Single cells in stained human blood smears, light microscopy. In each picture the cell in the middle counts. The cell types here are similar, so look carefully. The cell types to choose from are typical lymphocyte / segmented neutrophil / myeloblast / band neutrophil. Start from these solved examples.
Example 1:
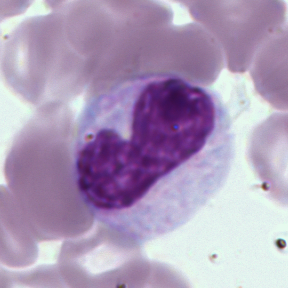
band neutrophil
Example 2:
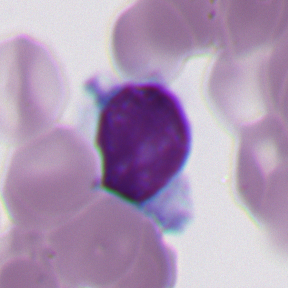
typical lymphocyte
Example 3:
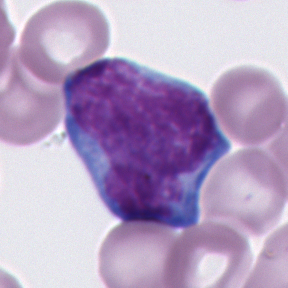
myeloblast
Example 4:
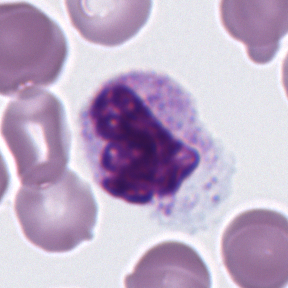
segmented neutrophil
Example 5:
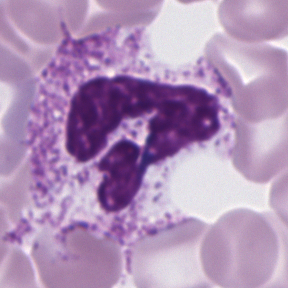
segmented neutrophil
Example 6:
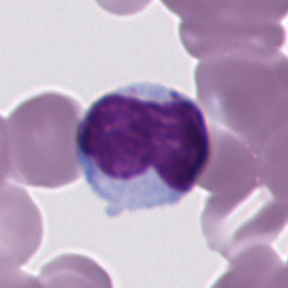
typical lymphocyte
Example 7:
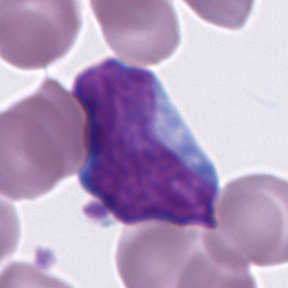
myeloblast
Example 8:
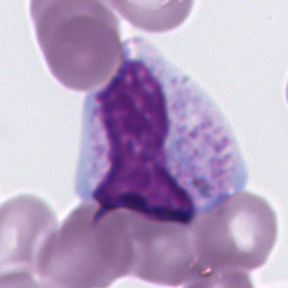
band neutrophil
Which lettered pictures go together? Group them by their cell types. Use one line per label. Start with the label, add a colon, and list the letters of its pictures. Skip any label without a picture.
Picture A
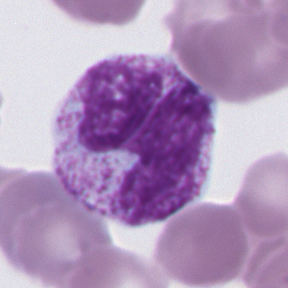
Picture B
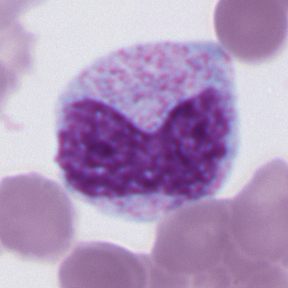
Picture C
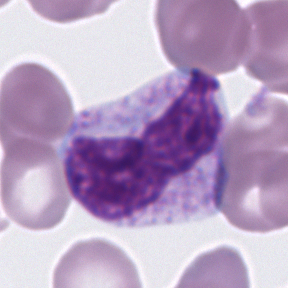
band neutrophil: A, B, C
